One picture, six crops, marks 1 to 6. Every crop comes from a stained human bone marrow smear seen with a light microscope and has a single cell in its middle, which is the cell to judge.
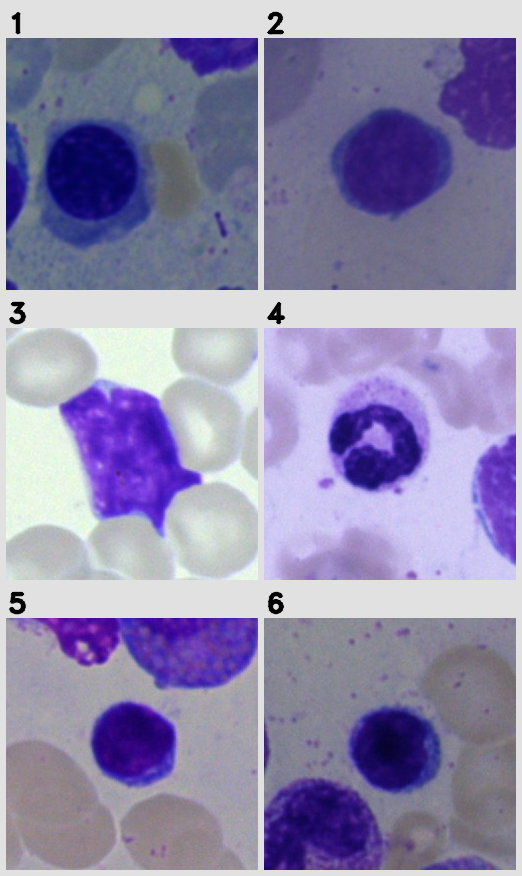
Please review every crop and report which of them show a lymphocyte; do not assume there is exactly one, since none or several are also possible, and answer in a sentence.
Shown at the centre of crops 2, 5 and 6 are lymphocytes.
